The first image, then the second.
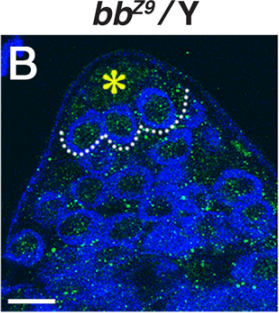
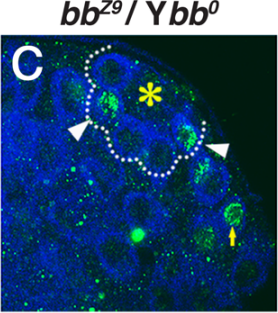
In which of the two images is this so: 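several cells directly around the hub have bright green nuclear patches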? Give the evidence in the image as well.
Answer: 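First image: the cells along the dotted line around the hub show only faint, dispersed green dots.
Answer: the second image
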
